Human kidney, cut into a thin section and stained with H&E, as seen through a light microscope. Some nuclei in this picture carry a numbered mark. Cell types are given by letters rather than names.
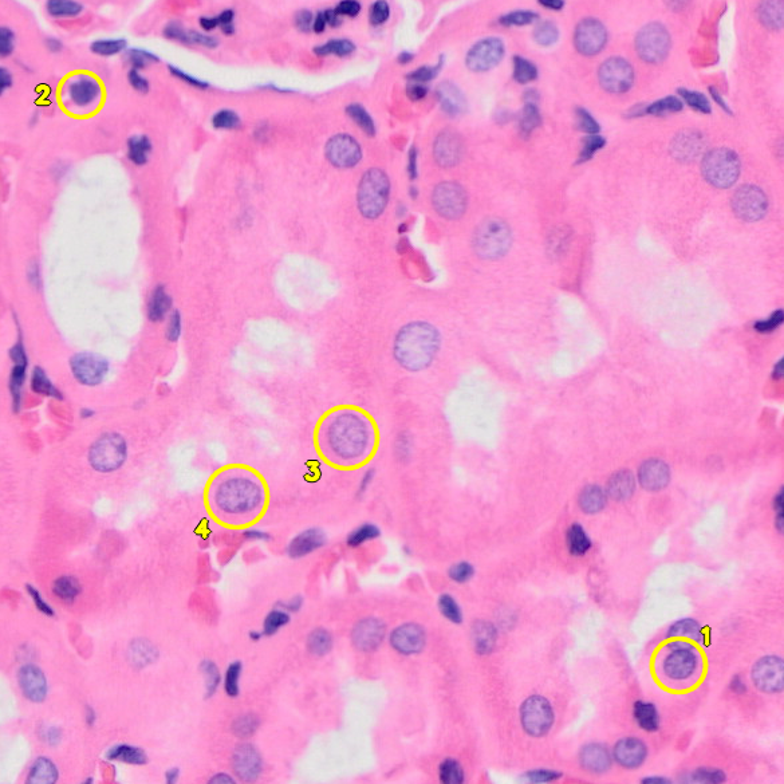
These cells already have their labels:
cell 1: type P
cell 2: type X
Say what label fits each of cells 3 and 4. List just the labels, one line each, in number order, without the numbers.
type P
type P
